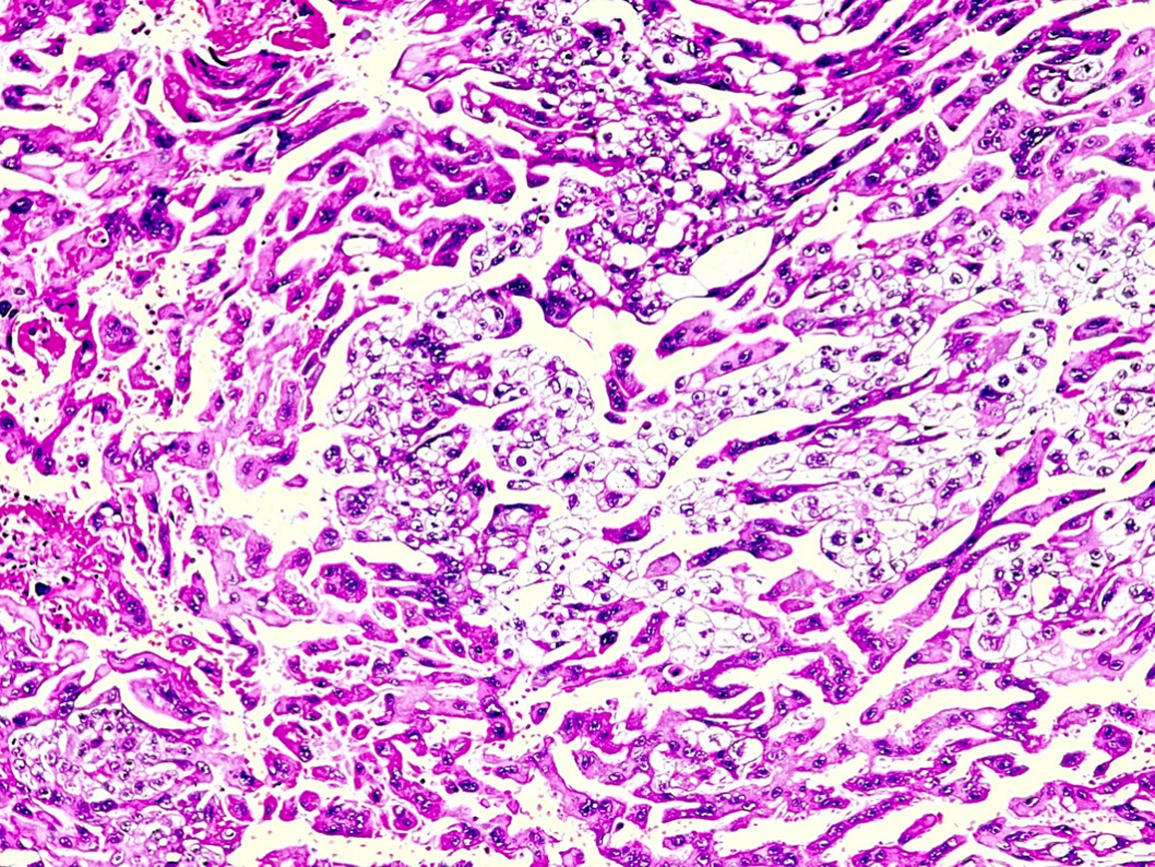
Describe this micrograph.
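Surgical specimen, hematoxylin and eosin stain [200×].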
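Sheets of atypical trophoblast are seen, with clusters of cytotrophoblast intermixed with cords and masses of syncytiotrophoblast, and no chorionic villi. The cytotrophoblast cells are polygonal with clear to pale cytoplasm, sharp cell borders and single round nuclei with prominent nucleoli. The syncytiotrophoblast forms elongated, branching strands of deep pink cytoplasm that hold several dark, irregular nuclei and wind between the pale cell clusters. Empty clefts and spaces separate the cords, and at the left edge there is some pink amorphous material with scattered debris.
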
